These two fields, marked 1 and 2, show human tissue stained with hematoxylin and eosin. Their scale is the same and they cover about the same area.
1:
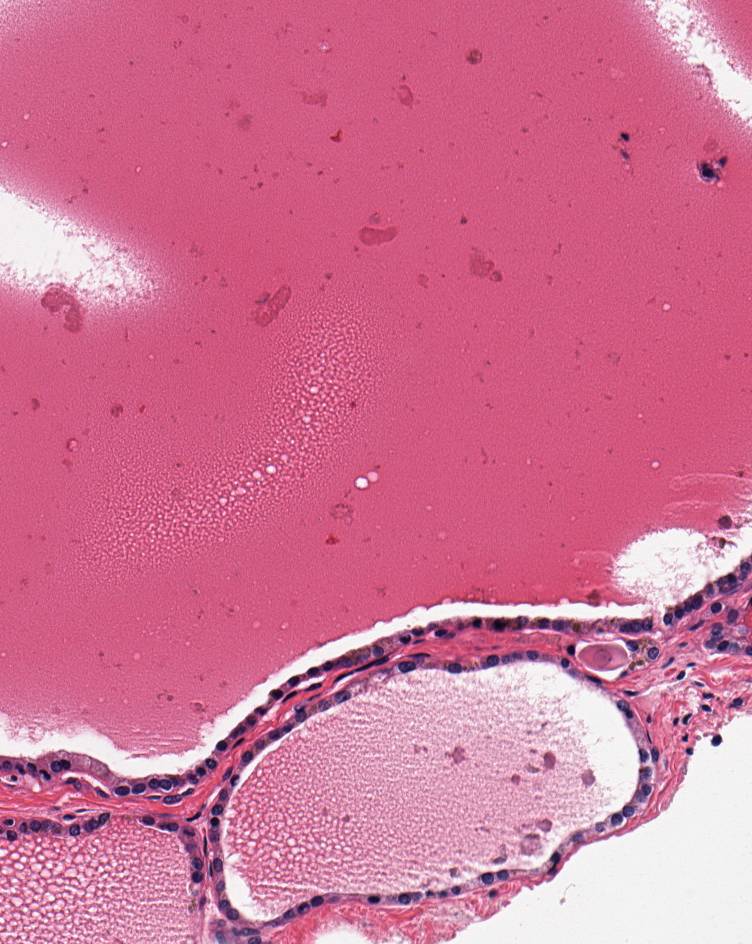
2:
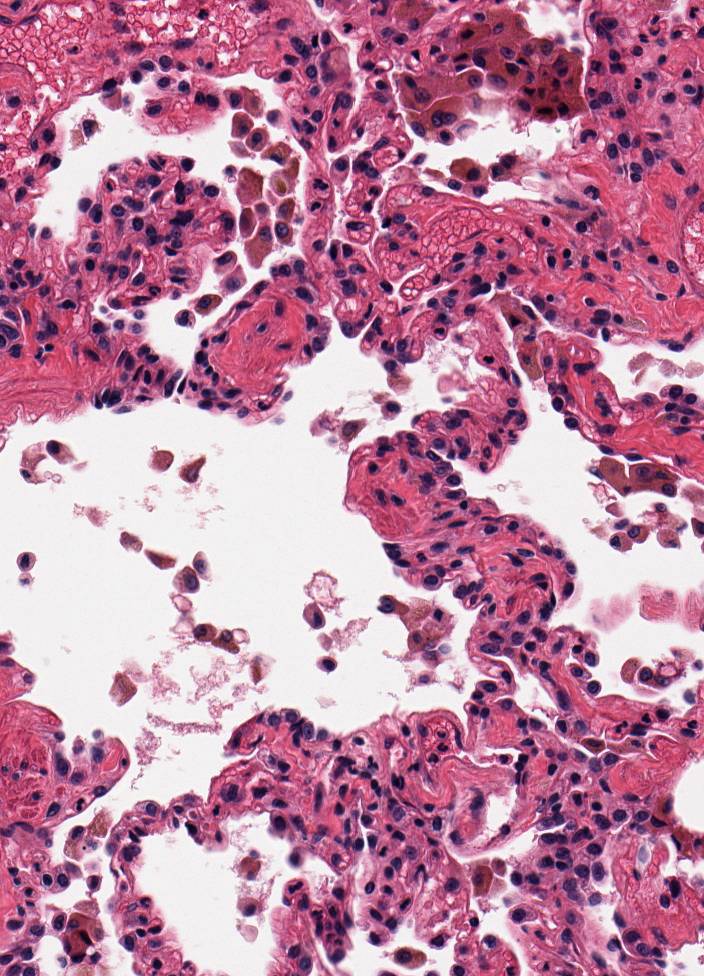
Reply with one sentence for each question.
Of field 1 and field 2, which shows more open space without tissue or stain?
Field 2 has more white space.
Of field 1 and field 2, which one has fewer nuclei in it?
The smaller number of nuclei is in field 1.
